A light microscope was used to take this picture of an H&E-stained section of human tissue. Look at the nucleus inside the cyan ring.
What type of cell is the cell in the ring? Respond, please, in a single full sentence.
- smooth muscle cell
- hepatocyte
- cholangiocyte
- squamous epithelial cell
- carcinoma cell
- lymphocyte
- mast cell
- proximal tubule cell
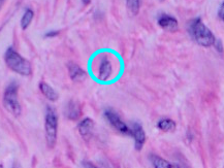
Recorded by type, the cell in the ring is a smooth muscle cell.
